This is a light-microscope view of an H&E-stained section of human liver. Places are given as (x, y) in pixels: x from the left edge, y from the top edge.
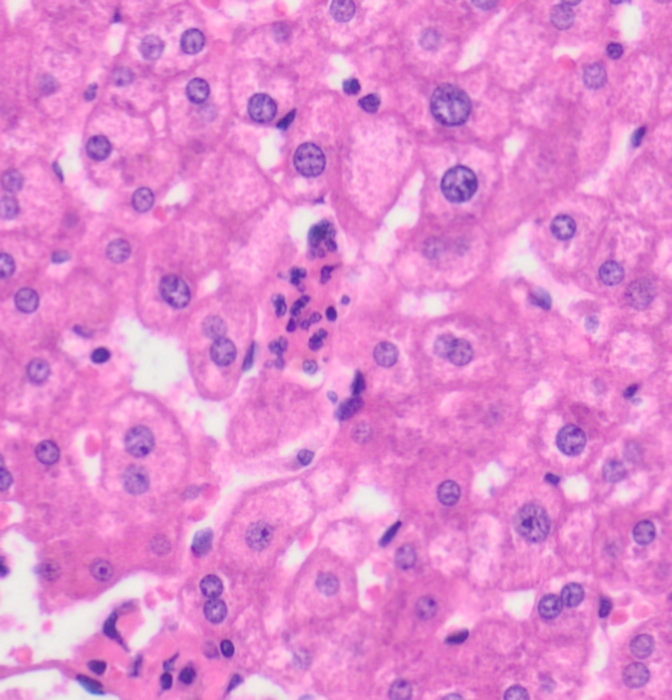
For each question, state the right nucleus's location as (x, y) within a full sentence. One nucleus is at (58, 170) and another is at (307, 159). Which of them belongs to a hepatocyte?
The nucleus positioned at (307, 159) forms part of a hepatocyte.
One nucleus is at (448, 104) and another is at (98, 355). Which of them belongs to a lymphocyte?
It is the nucleus at (98, 355) that belongs to a lymphocyte.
